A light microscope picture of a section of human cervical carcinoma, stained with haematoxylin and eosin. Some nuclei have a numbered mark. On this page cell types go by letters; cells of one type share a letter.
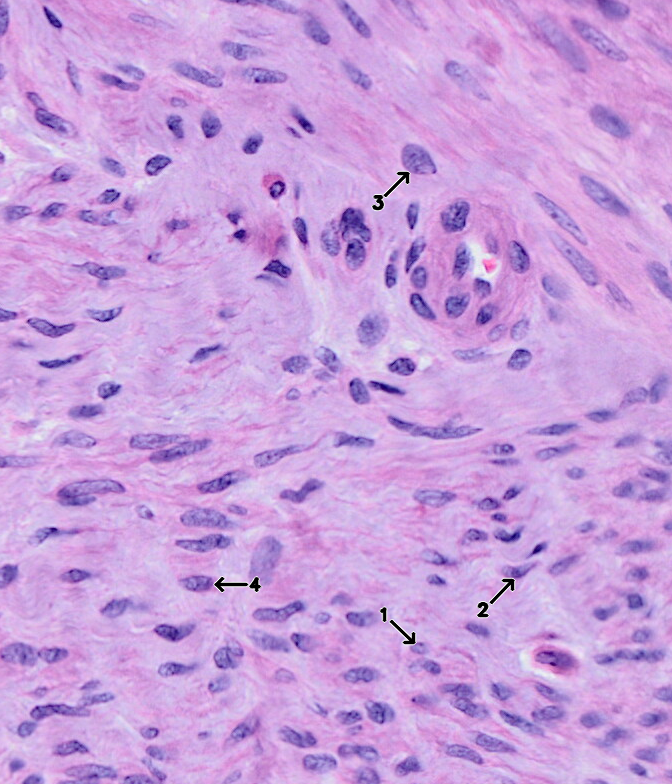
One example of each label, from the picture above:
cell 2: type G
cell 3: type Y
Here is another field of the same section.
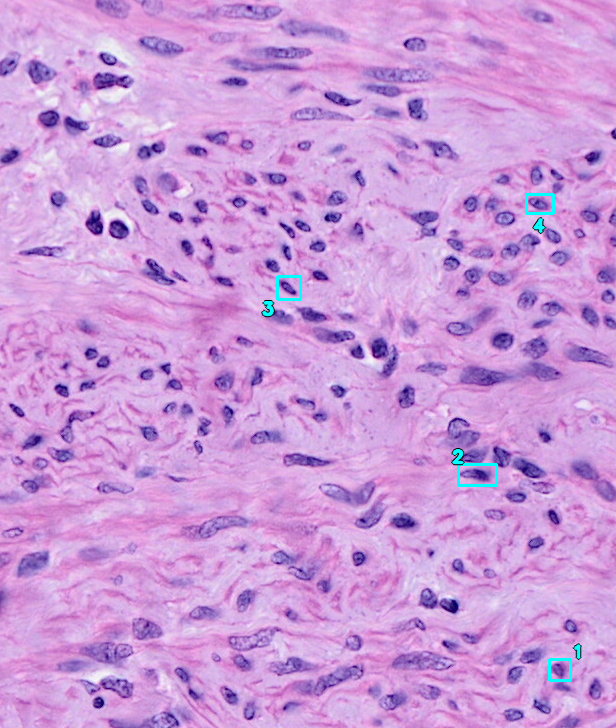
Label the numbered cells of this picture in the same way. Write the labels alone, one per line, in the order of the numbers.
type G
type Y
type G
type G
